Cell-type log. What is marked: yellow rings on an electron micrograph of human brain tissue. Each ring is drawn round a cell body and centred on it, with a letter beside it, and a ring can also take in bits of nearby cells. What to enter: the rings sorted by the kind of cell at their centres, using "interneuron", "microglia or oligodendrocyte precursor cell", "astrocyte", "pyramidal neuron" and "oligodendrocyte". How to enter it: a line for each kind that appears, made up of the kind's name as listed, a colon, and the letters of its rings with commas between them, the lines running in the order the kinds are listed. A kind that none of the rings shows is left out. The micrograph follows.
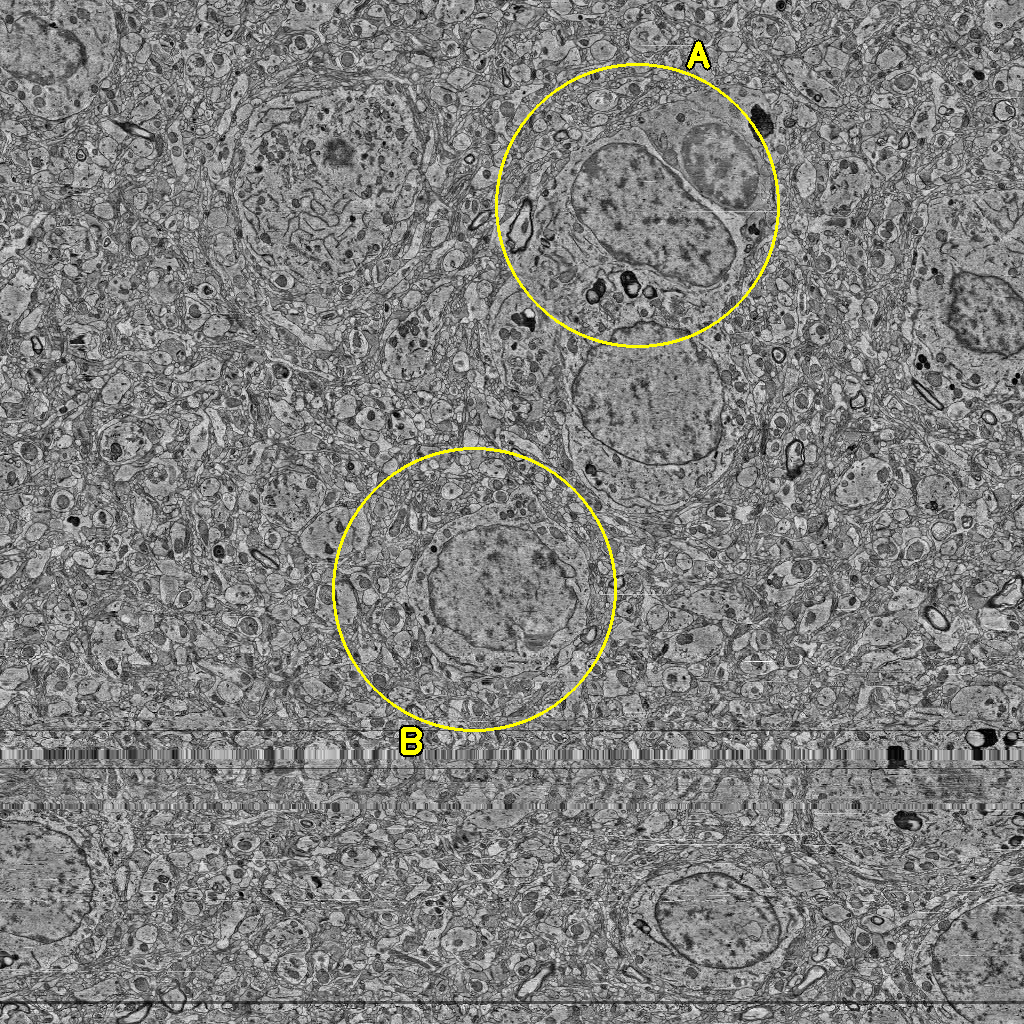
interneuron: B
microglia or oligodendrocyte precursor cell: A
